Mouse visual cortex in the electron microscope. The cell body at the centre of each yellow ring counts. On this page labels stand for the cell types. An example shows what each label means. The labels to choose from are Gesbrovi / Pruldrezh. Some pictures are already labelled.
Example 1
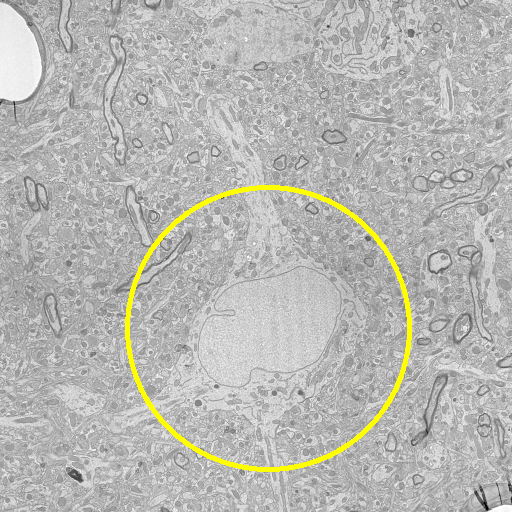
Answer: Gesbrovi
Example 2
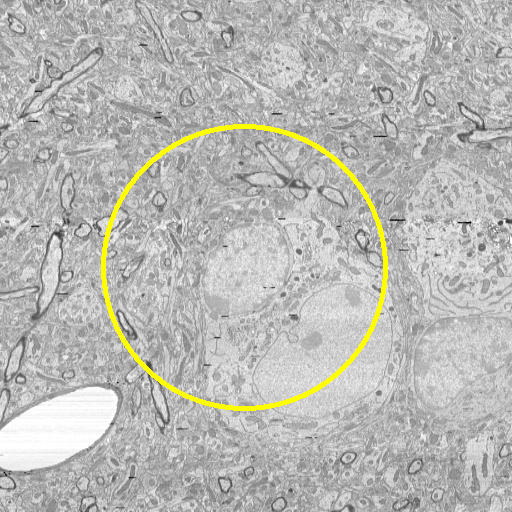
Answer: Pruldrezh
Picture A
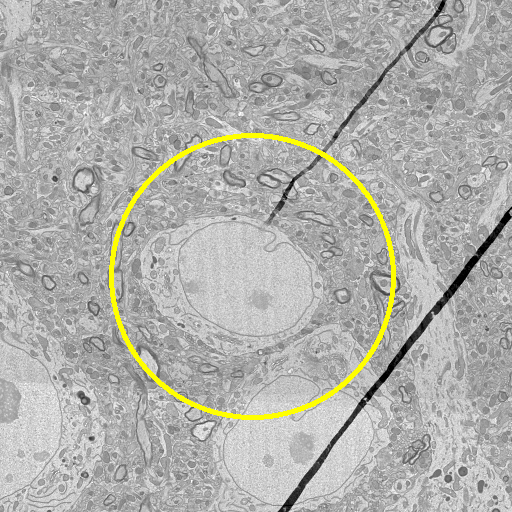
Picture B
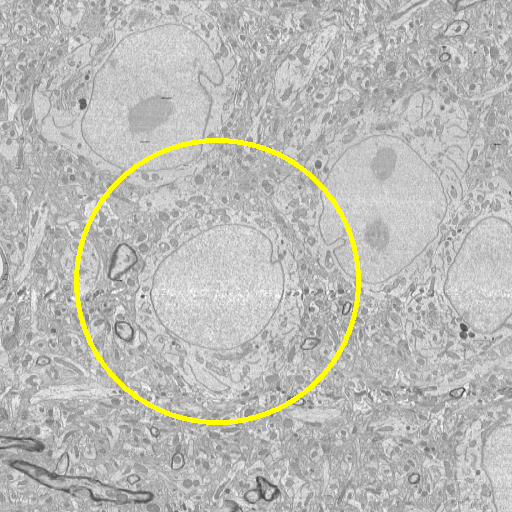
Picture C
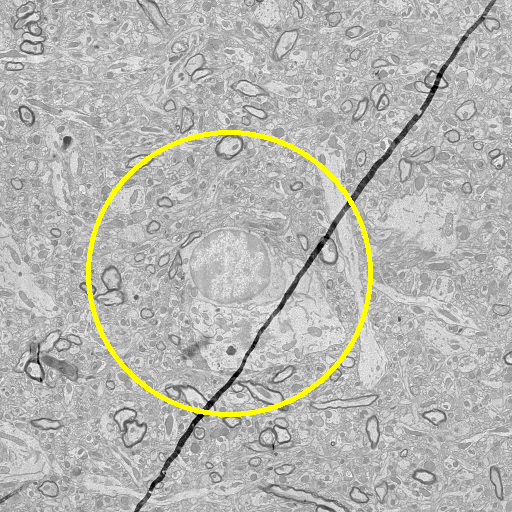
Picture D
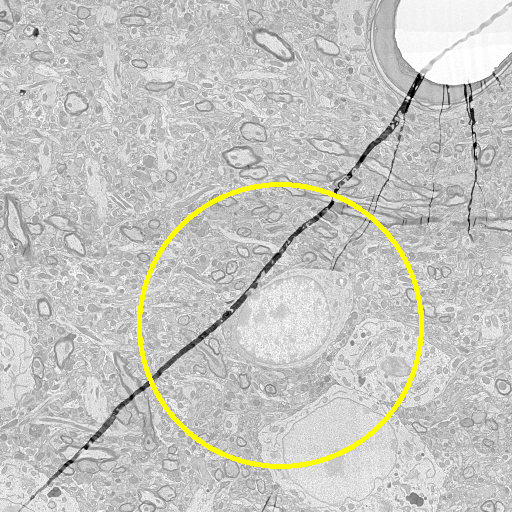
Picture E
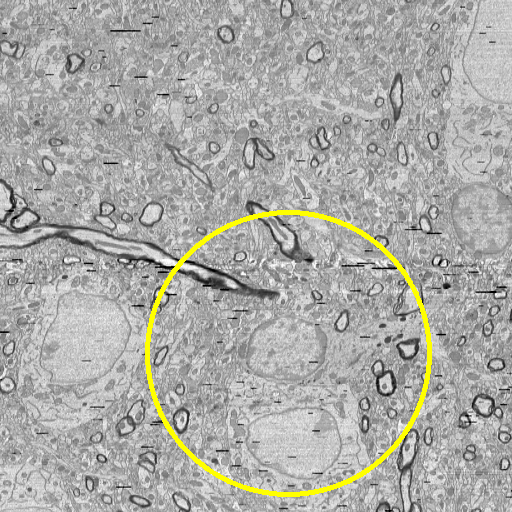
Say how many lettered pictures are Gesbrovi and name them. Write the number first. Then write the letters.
Count: 2 (A, B)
